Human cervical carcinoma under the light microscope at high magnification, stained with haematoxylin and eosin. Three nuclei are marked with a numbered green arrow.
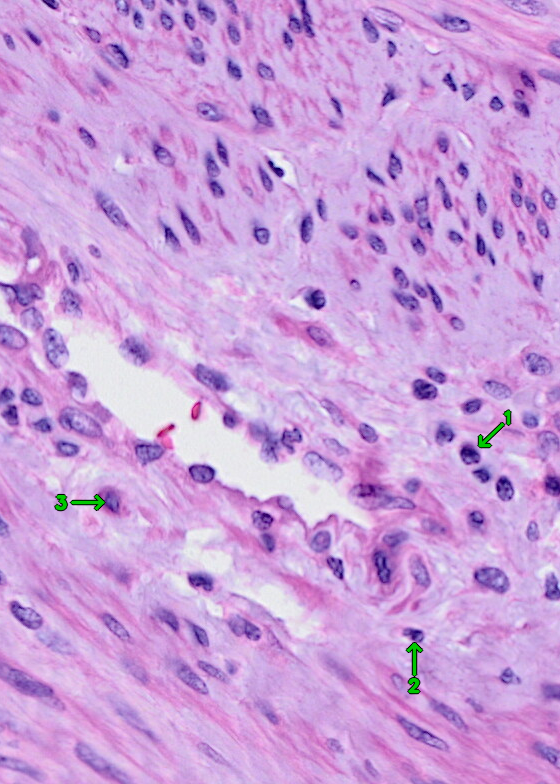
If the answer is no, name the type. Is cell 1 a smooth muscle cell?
No, it is a lymphocyte.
